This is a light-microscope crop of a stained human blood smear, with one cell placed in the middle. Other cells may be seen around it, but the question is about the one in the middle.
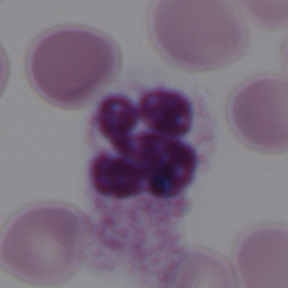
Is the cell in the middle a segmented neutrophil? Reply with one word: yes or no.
yes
